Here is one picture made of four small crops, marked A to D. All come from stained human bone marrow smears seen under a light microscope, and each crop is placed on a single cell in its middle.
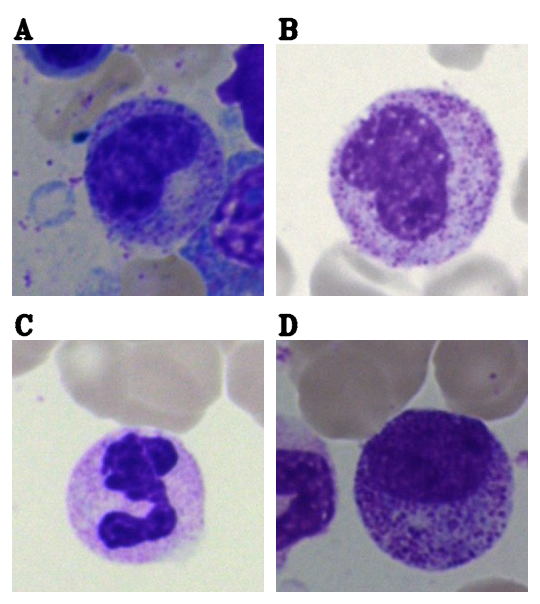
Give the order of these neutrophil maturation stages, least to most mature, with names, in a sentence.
What results from ordering by maturity, least to most, is crop D (a myelocyte), crop A (a metamyelocyte), crop B (a band neutrophil) and crop C (a segmented neutrophil).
